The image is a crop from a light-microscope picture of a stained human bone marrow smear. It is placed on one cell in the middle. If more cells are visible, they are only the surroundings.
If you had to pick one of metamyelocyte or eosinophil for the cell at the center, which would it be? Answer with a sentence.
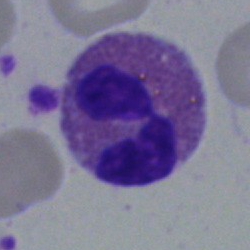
The centrally located cell in the crop is an eosinophil.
